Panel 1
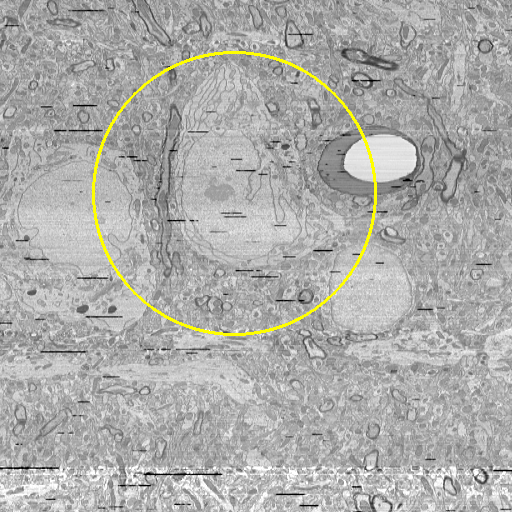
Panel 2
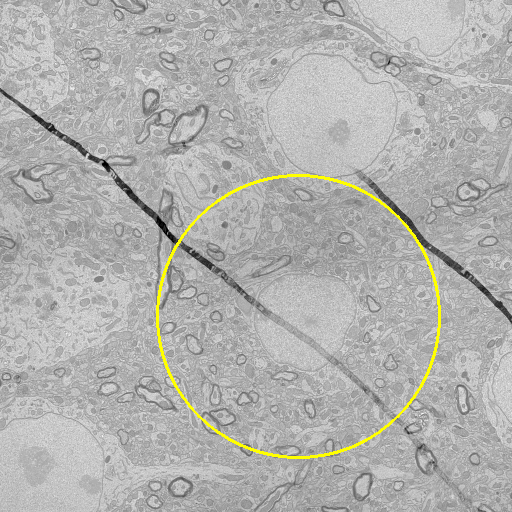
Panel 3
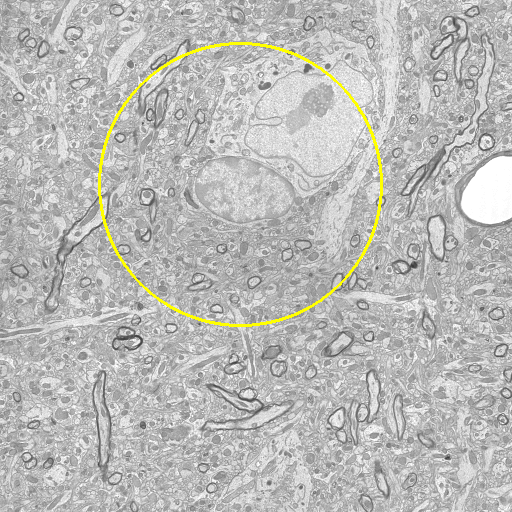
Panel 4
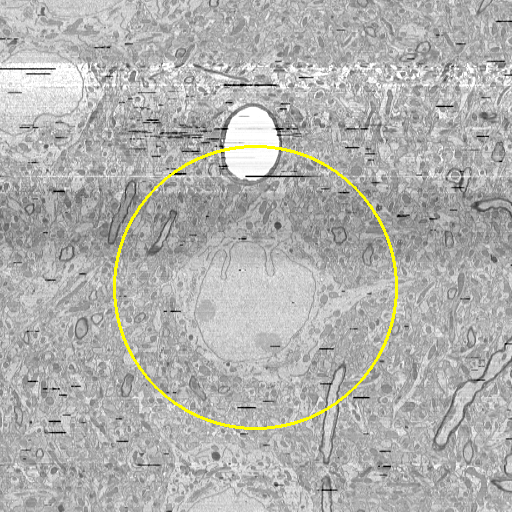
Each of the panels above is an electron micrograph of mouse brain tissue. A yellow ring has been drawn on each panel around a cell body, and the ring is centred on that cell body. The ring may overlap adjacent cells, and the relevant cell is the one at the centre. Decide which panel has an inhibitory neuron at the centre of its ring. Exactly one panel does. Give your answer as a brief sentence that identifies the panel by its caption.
Panel 1 is the one with it at the centre of the ring.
